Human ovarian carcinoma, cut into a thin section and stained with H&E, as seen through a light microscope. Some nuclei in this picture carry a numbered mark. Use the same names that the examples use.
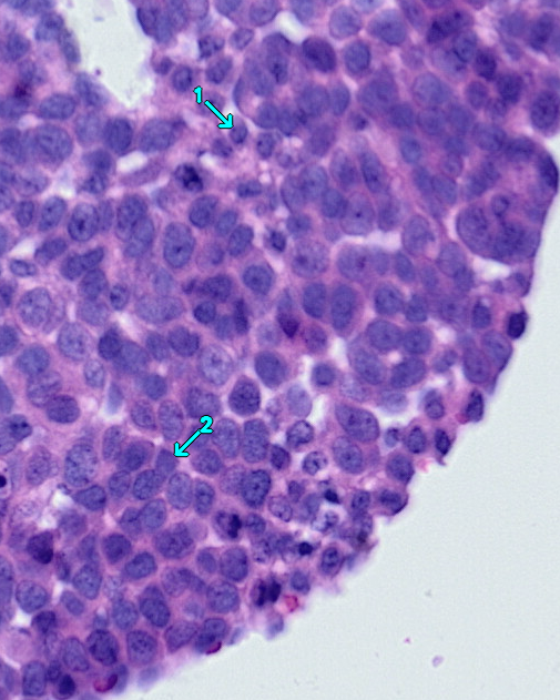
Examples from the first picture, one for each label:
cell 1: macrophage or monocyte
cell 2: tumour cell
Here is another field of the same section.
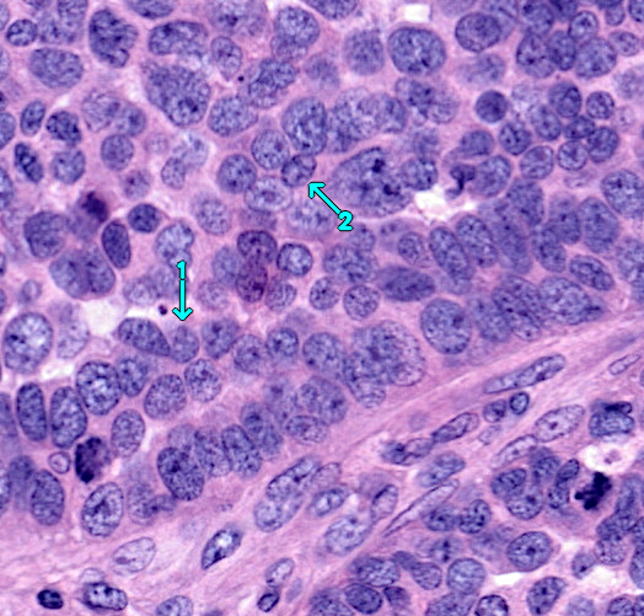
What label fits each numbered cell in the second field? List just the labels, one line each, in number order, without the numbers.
tumour cell
macrophage or monocyte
